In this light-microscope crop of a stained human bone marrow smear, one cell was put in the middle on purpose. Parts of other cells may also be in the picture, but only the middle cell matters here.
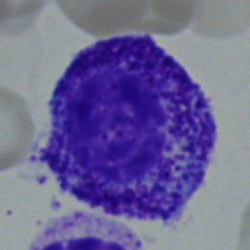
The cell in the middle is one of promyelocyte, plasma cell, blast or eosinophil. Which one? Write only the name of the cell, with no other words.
promyelocyte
